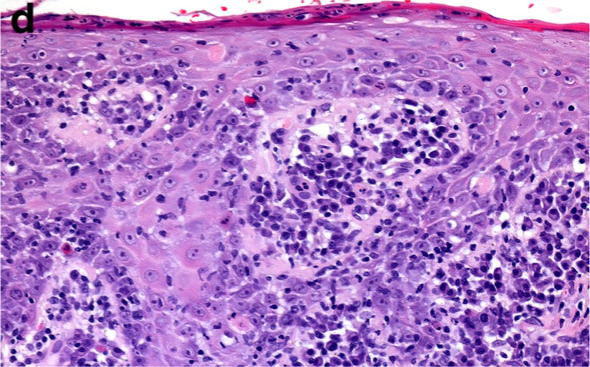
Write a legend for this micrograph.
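Here is skin with a thickened epidermis and a heavy inflammatory infiltrate. The epidermis is many layers of keratinocytes deep, with pink cytoplasm and oval nuclei, covered by a thin red keratin layer, and it sends broad tongues downward. Between and beneath these tongues the dermis is packed with small cells whose nuclei are round and dark: lymphocytes, with plasma cells among them. The inflammatory cells press right up against the base of the epidermis, so the border between epidermis and dermis is blurred, and pinker, glassy zones lie along it.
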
